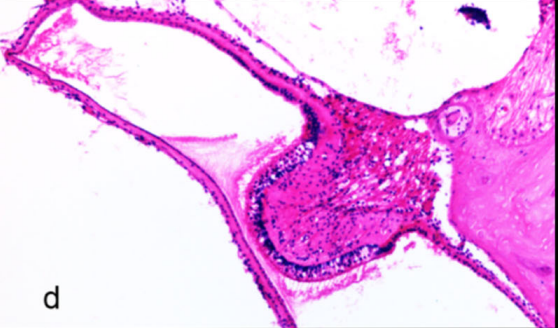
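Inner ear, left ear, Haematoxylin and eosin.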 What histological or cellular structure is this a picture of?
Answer: Semi-circular ampulla.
